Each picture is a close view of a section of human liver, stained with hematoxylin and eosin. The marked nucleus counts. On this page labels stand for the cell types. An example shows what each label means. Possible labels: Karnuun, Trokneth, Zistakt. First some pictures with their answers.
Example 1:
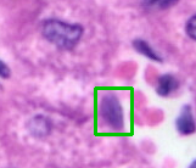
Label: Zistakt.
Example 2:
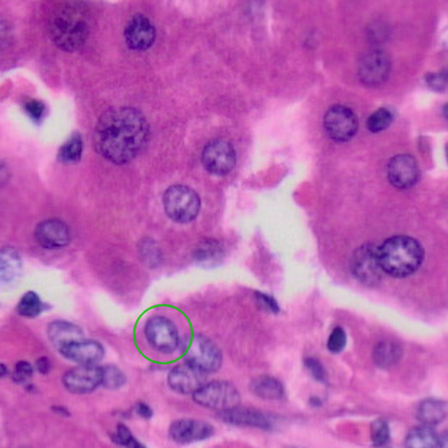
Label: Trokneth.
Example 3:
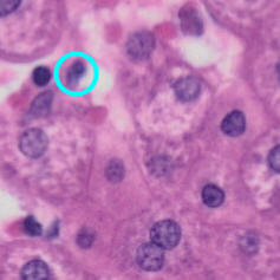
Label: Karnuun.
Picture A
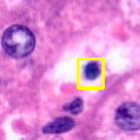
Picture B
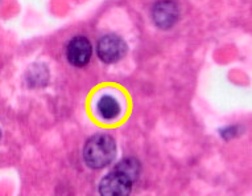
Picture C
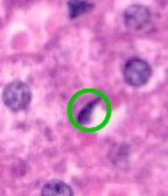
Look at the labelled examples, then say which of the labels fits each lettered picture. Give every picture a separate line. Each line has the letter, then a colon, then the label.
A: Karnuun.
B: Karnuun.
C: Zistakt.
